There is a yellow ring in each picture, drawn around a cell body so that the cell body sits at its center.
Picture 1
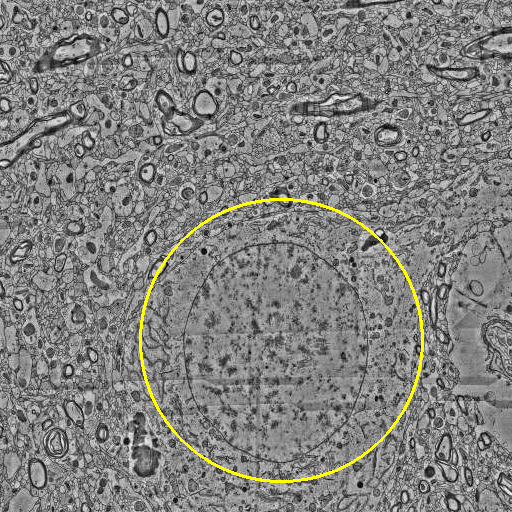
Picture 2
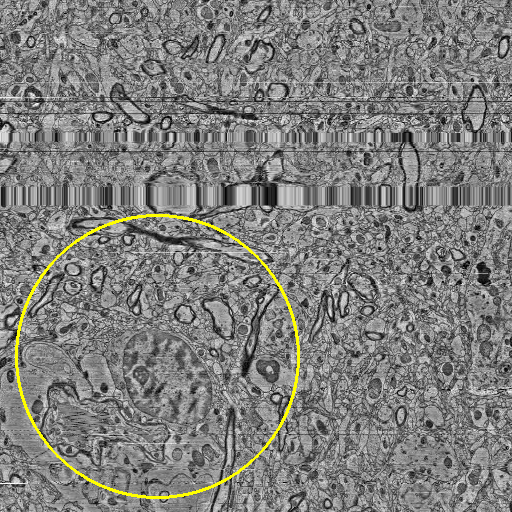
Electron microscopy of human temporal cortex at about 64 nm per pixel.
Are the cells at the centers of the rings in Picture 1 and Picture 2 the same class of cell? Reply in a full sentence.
No, the two cells are two classes of cell.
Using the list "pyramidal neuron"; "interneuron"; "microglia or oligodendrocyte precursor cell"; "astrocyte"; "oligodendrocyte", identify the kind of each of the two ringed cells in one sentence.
The first is a pyramidal neuron and the second is an oligodendrocyte.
